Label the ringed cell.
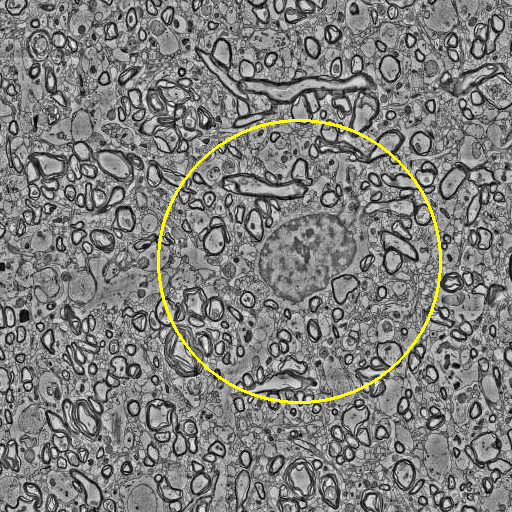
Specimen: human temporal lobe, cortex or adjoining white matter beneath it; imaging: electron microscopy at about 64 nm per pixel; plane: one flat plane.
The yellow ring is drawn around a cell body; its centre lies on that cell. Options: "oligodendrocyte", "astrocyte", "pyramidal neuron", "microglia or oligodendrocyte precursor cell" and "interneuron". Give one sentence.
The ringed cell is an oligodendrocyte.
